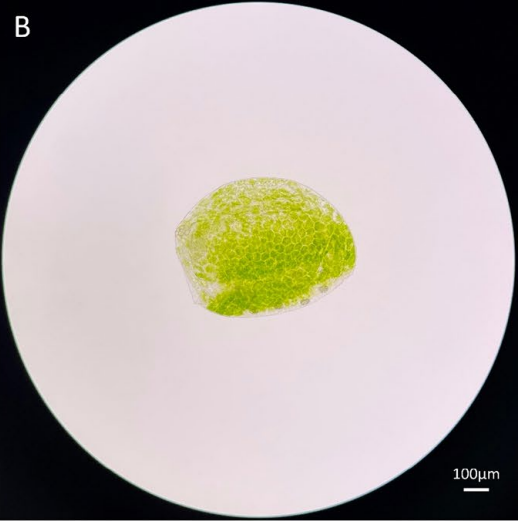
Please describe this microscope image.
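A whole small, rounded green plant body sits alone in the middle of an empty bright field. Inside it, small polygonal cells can be made out in a tightly packed mosaic. These cells are filled with green material, which would be chloroplasts. Around the green mass runs a thin, clear margin of transparent tissue. The green is densest toward the lower part of the body.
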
